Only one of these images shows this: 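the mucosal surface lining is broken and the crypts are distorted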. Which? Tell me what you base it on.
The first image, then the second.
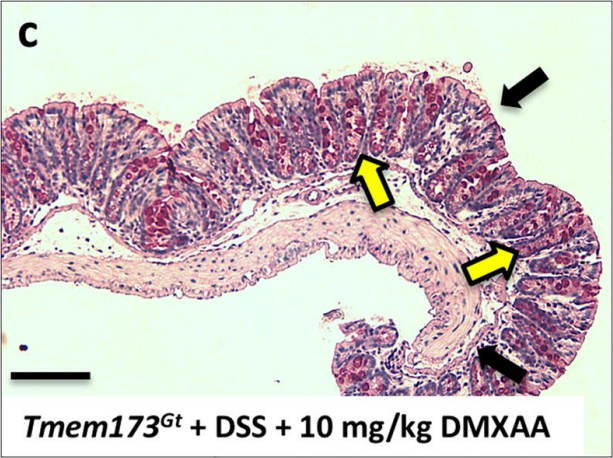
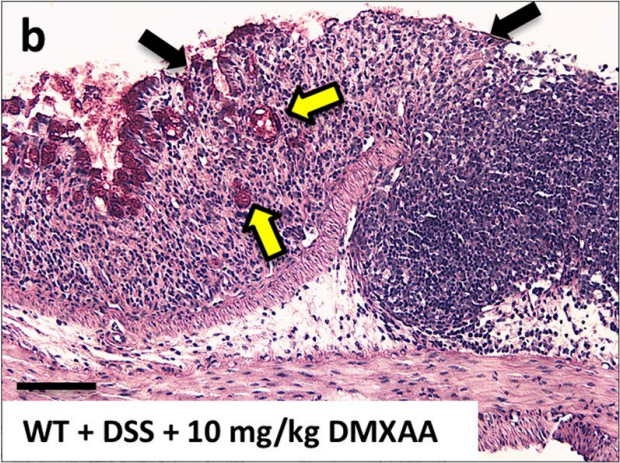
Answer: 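First image: an intact columnar surface epithelium lies over regular, evenly spaced crypts. Second image: the surface is ragged and the mucosa is crowded with cells, with only scattered distorted crypts.
Conclusion: the second image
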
